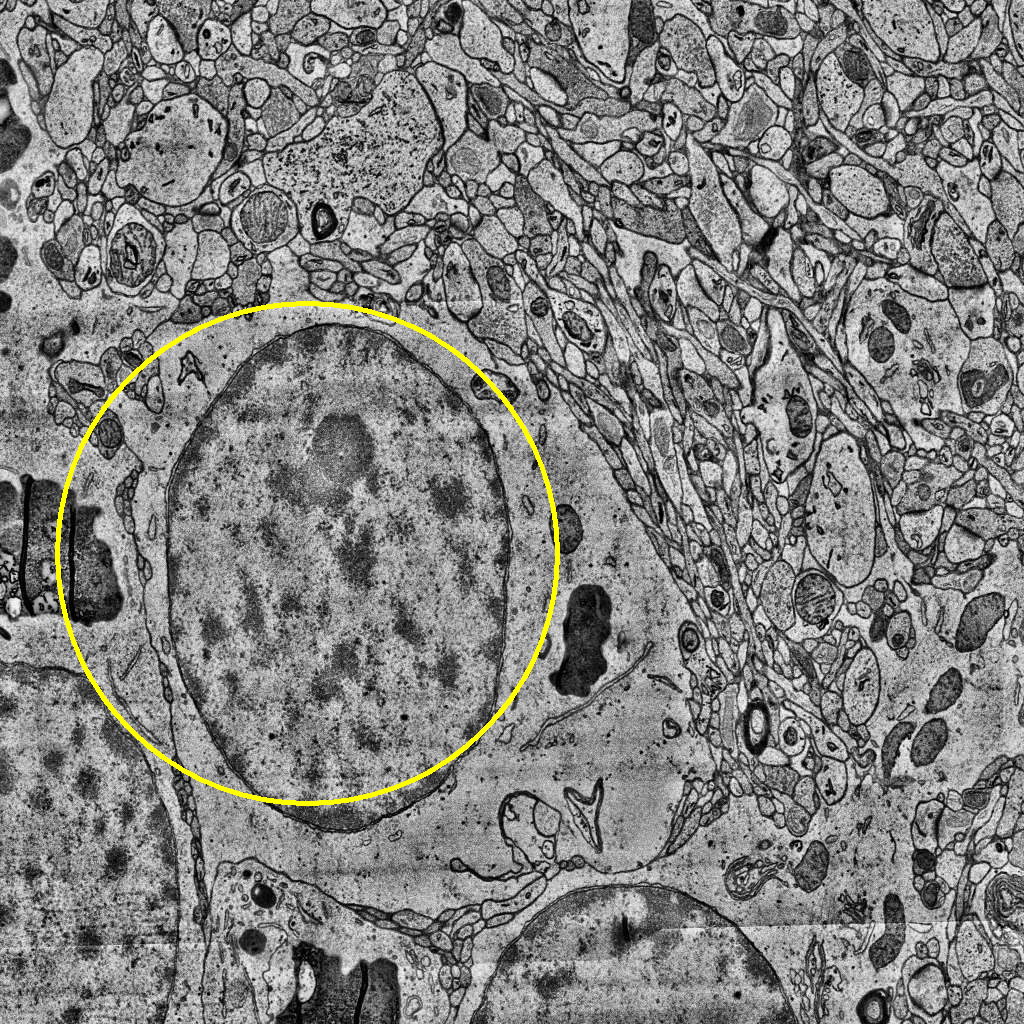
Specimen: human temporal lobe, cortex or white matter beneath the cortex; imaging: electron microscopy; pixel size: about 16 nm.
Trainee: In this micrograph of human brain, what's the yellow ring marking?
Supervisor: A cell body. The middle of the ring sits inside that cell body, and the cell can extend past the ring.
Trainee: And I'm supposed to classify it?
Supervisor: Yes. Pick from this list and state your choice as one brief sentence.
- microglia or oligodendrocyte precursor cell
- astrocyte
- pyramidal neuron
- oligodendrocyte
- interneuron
The cell at the ring's center is an astrocyte.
